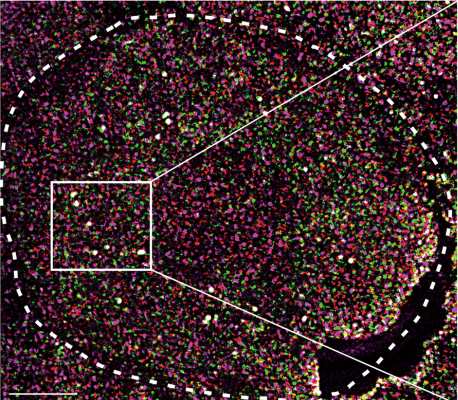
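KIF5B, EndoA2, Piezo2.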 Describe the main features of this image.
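The ganglion is outlined by a dashed white line. Inside it, many small green, red and magenta profiles are scattered fairly evenly, with scattered white spots where all three colours overlap. A darker band with fewer profiles runs along part of the lower right edge.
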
